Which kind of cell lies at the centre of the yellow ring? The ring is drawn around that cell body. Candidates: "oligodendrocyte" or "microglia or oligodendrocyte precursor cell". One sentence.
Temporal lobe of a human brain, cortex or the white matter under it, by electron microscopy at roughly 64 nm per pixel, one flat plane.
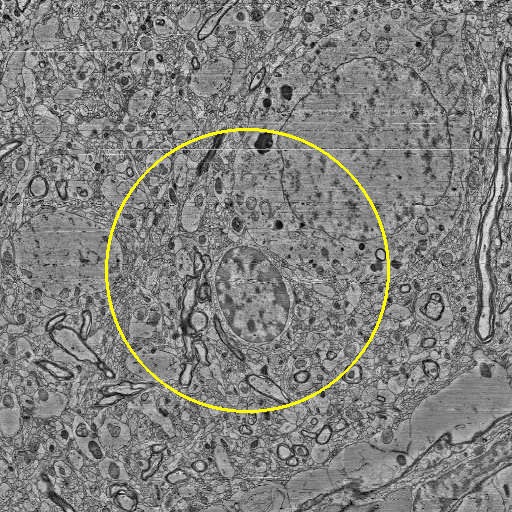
Lying at the centre of the ring is a microglial cell or oligodendrocyte precursor cell.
